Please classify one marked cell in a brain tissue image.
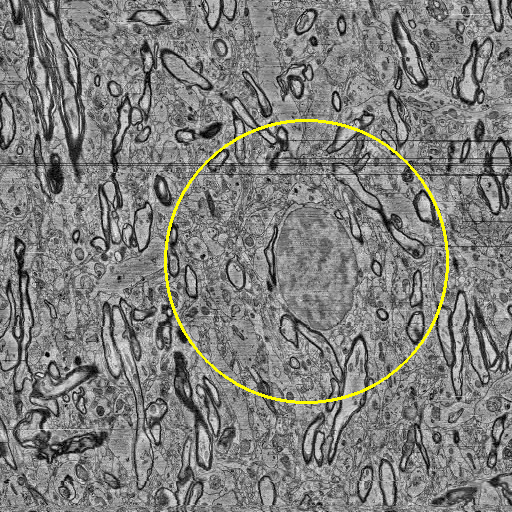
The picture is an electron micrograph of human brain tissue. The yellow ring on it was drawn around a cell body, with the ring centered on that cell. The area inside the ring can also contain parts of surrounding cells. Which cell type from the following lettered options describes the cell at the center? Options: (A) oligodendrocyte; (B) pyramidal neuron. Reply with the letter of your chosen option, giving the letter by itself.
A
